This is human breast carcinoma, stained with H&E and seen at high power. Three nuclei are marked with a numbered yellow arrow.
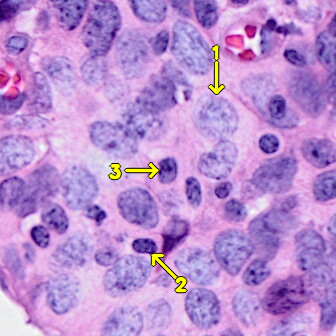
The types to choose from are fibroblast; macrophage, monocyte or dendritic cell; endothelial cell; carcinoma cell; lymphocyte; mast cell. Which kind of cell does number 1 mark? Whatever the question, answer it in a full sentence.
The cell pointed out by number 1 is a carcinoma cell.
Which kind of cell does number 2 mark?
The cell that goes by number 2 is a lymphocyte.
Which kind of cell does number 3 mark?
Among the marked cells, number 3 is a lymphocyte.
